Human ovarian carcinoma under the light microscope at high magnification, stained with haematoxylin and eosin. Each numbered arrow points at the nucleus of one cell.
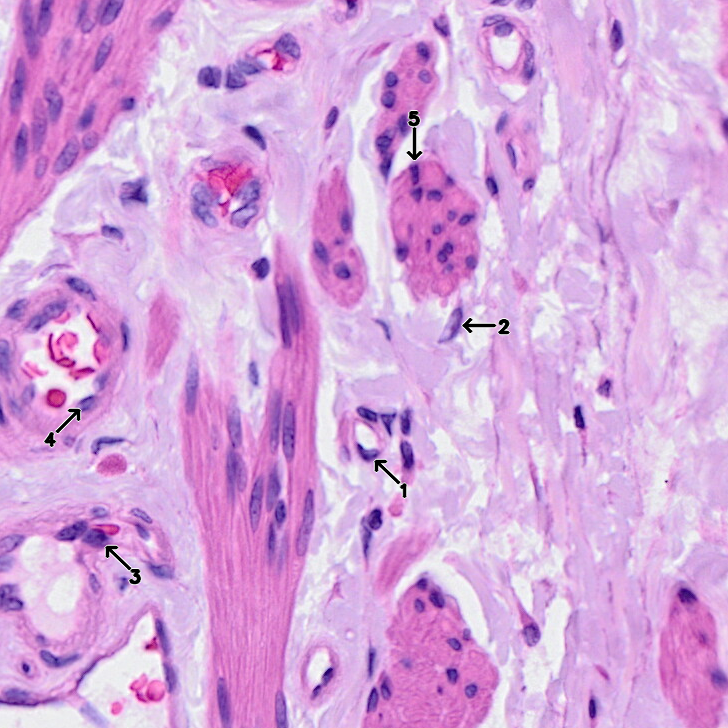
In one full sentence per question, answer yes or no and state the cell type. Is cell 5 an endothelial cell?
No, it is a smooth muscle cell, rather than an endothelial cell, that carries number 5.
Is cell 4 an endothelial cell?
Yes, cell 4 is an endothelial cell in this tissue section.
